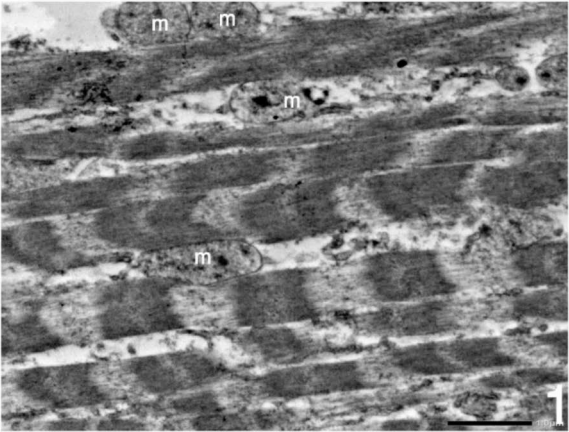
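The sarcomeres are short and their dark bands no longer line up from one myofibril to the next, so the striations look broken and staggered. Wide pale spaces separate the myofibrils, filled with loose, granular material. Large rounded mitochondria lie between and above the myofibrils; they look swollen, with a pale interior in which cristae are hard to make out. Small dark granules are scattered in the spaces between the filament bundles.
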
